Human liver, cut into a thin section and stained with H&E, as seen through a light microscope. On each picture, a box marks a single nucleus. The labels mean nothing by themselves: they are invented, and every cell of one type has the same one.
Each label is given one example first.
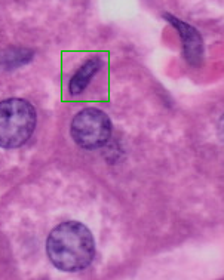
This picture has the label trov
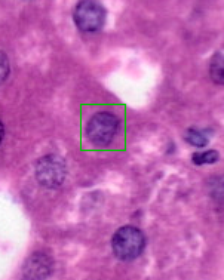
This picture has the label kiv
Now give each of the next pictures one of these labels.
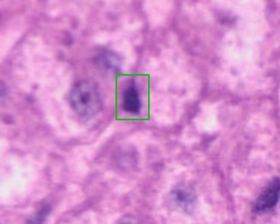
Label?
trov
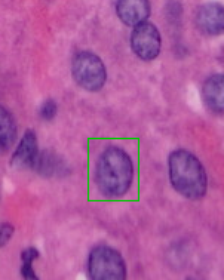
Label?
kiv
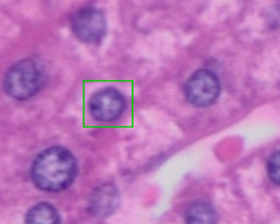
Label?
kiv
